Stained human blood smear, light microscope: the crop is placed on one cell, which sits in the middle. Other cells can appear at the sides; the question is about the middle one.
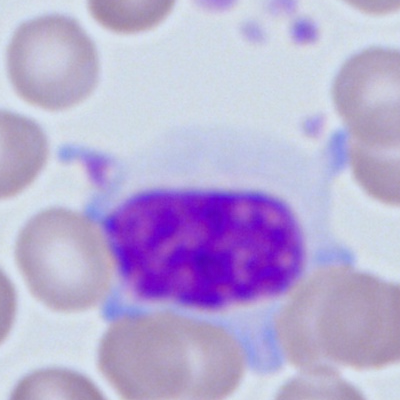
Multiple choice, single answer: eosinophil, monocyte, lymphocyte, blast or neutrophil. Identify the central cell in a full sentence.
The centered cell in this crop is a lymphocyte.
